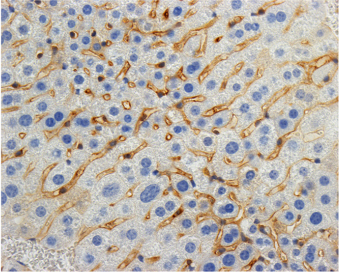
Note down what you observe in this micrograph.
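This is liver tissue with cords of hepatocytes separated by narrow sinusoidal channels. The hepatocytes are large polygonal cells with pale cytoplasm and round blue nuclei, some cells carrying two nuclei. Brown staining follows the thin, flattened lining cells of the sinusoids, forming a branching network between the hepatocyte cords. The hepatocytes themselves are largely unstained.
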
